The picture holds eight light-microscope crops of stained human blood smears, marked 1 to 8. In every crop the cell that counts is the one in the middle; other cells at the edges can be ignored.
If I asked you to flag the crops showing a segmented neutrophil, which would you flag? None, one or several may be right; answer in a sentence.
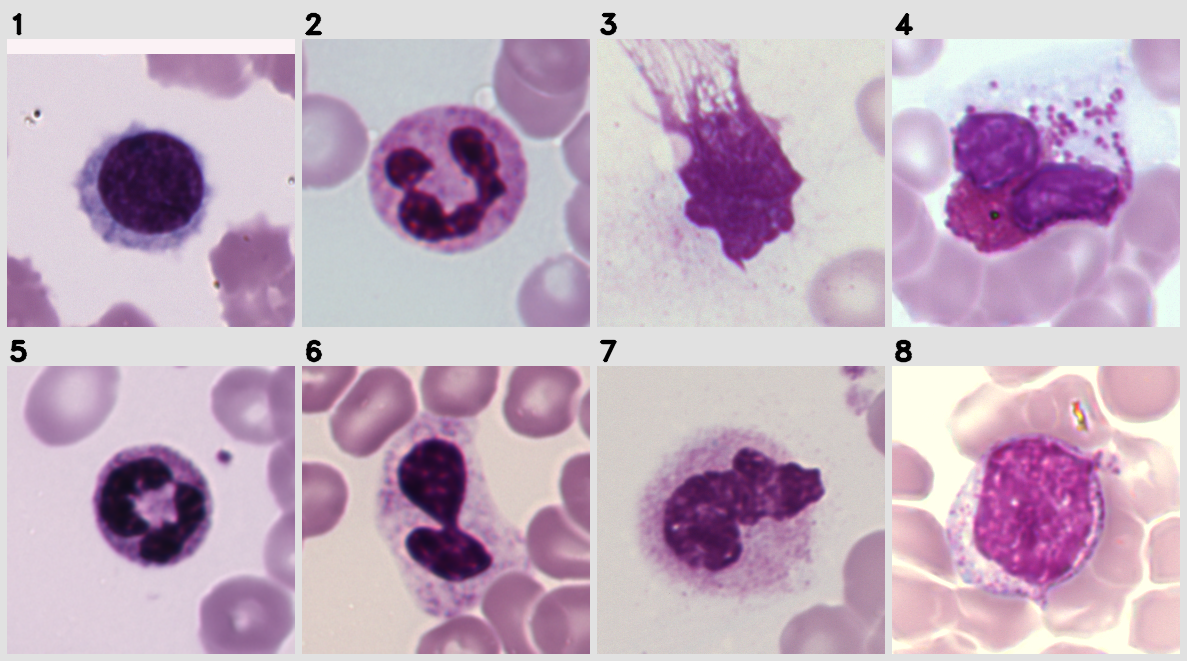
Crops 2, 5, 6 and 7 each contain a central cell, and these cells are segmented neutrophils.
